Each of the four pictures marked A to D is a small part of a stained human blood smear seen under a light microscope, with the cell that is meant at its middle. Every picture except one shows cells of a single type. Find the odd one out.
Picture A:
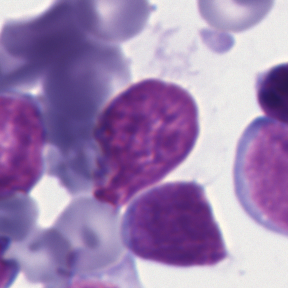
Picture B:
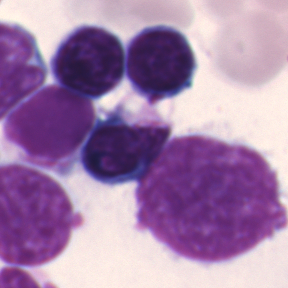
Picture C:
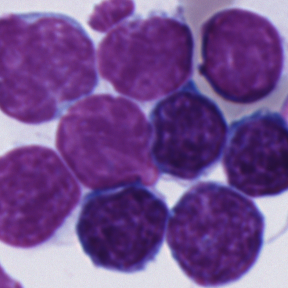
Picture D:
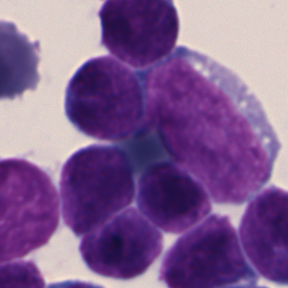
A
